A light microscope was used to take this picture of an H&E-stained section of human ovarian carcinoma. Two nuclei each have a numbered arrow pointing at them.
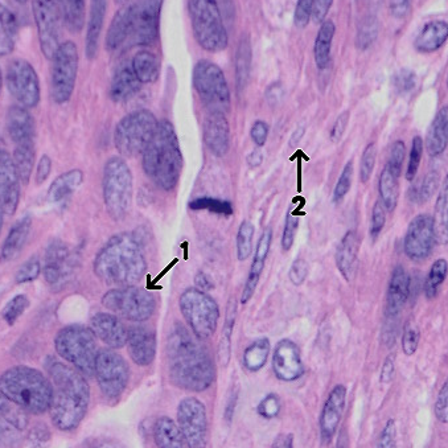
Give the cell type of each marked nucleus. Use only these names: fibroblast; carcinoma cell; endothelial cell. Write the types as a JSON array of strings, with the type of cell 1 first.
["carcinoma cell", "fibroblast"]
